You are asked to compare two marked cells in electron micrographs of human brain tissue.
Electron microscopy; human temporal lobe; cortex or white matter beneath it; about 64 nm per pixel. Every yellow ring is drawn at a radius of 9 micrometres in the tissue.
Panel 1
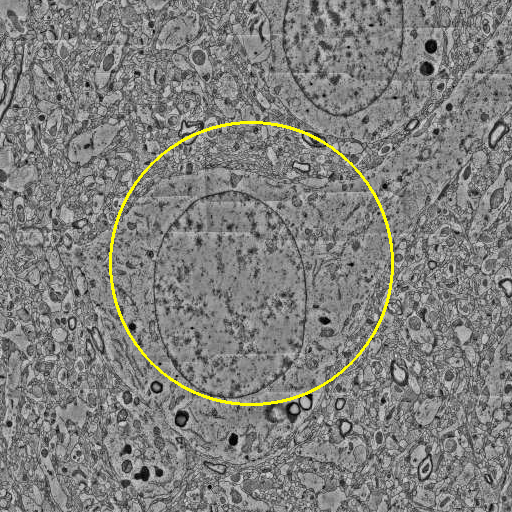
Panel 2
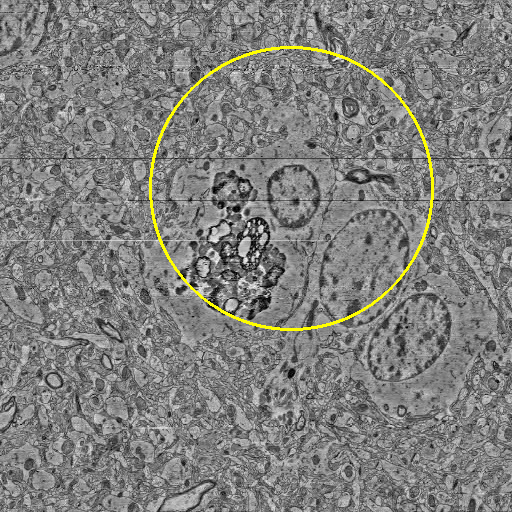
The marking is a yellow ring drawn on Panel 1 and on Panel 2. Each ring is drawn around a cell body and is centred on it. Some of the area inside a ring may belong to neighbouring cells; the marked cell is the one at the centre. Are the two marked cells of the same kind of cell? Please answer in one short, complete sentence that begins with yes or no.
No, the two marked cells are of two kinds.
